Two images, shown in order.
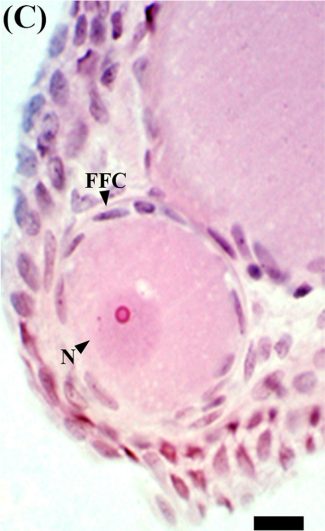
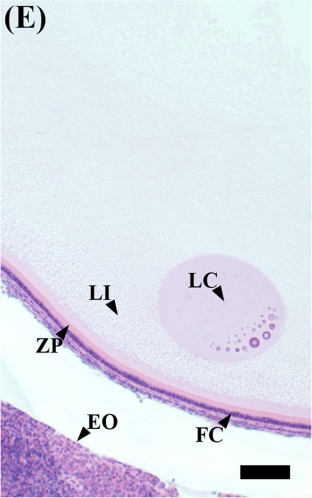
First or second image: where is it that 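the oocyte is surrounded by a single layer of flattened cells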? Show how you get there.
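Second image: the oocyte is bordered by a pink band and a thicker, multirowed layer of cells. First image: the oocyte is enclosed by one ring of thin flattened cells with elongated nuclei. On this evidence: the first image.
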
